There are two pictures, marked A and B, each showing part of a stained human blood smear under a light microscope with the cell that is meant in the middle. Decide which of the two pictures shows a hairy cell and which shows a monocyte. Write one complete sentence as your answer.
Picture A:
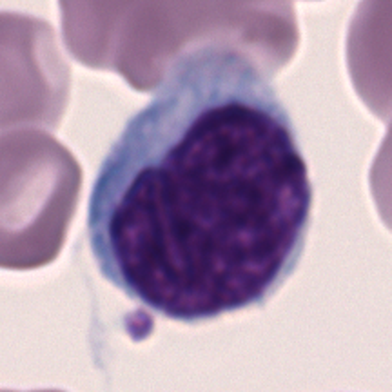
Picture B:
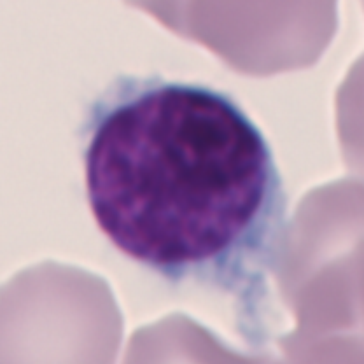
Picture B shows a hairy cell, while picture A shows a monocyte.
